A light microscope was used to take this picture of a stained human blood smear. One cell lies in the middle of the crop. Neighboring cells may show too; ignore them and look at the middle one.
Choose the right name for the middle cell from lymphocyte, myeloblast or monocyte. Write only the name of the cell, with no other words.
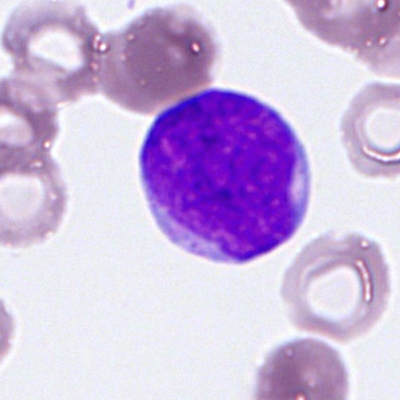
myeloblast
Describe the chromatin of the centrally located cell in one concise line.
Check the chromatin: it is fine and not coarsely clumped.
